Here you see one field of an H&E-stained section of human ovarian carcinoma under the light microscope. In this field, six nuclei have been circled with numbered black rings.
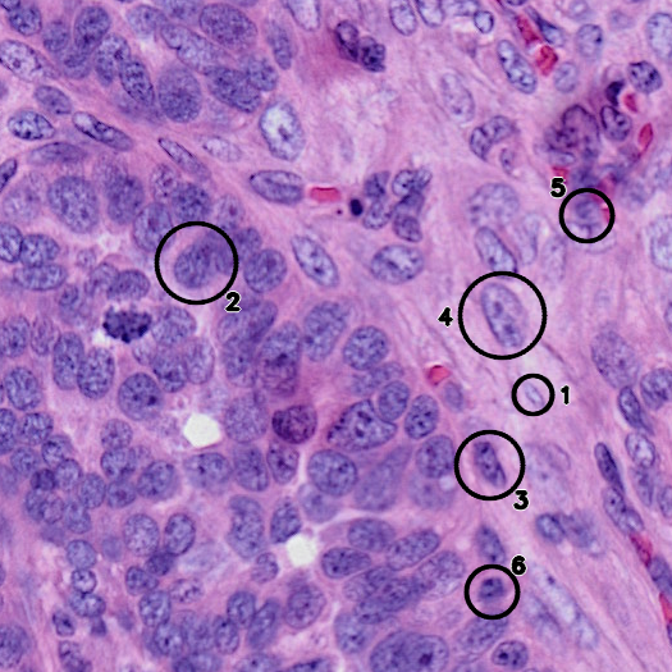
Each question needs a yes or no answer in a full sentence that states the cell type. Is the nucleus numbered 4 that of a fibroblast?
Yes, so the cell at label 4 is a fibroblast.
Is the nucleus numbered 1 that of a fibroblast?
Yes, the cell identified by number 1 is a fibroblast.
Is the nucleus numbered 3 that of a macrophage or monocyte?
Yes, on this slide, the cell with number 3 is a macrophage or monocyte.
